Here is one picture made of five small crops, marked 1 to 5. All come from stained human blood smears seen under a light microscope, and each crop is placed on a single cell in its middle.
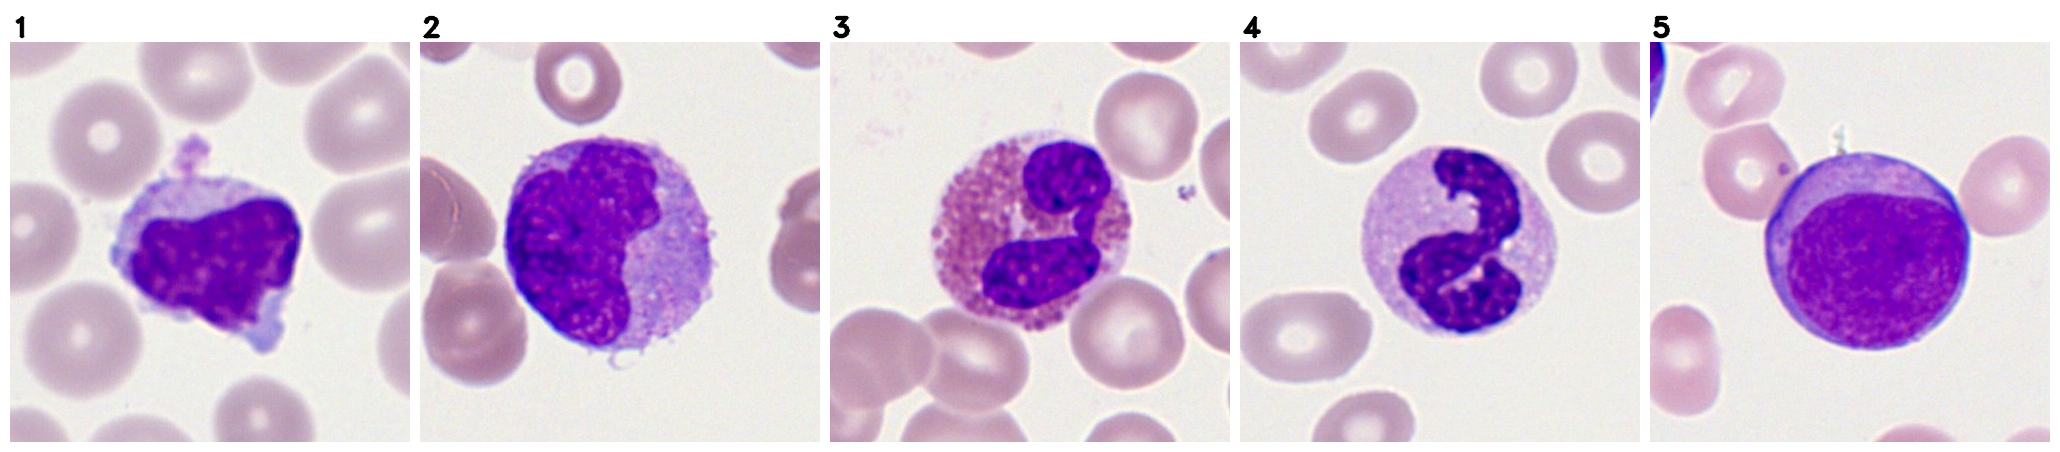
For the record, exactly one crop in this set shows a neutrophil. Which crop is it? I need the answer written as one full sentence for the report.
The one that shows a neutrophil is crop 4.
